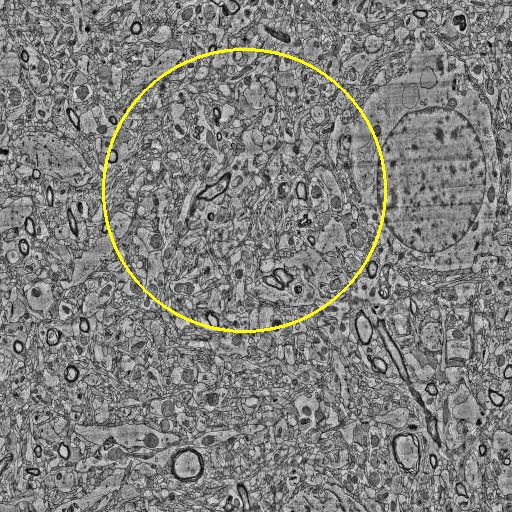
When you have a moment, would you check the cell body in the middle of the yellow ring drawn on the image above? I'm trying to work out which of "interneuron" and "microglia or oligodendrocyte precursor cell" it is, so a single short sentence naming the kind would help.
This cell body belongs to a microglial cell or oligodendrocyte precursor cell.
